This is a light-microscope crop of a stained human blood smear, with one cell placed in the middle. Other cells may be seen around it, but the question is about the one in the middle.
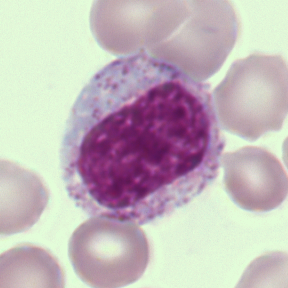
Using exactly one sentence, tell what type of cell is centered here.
The central cell, amid any neighbouring cells, is a metamyelocyte.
